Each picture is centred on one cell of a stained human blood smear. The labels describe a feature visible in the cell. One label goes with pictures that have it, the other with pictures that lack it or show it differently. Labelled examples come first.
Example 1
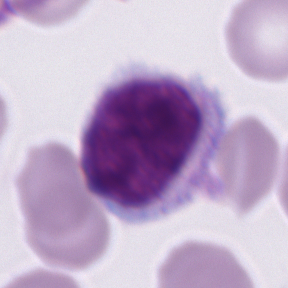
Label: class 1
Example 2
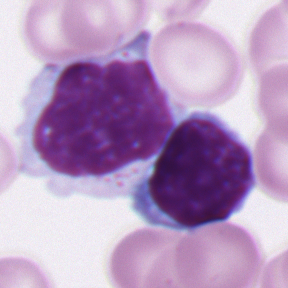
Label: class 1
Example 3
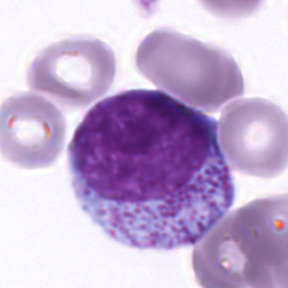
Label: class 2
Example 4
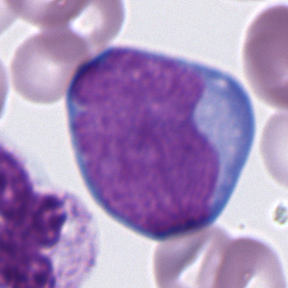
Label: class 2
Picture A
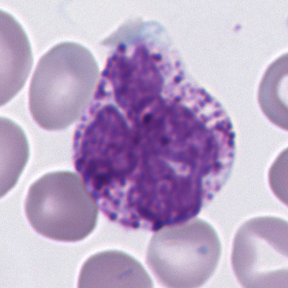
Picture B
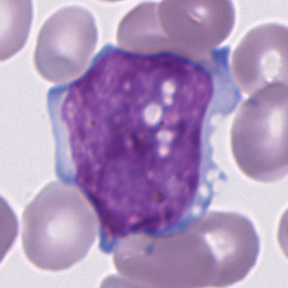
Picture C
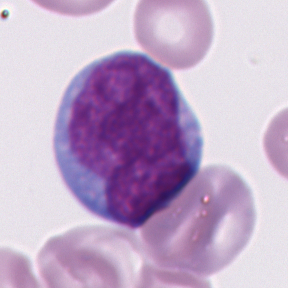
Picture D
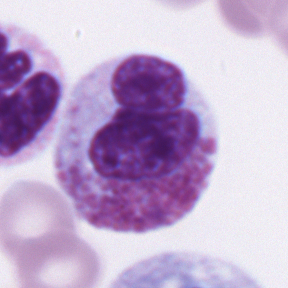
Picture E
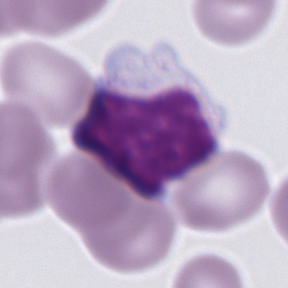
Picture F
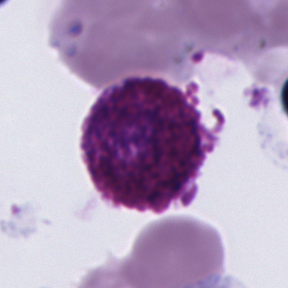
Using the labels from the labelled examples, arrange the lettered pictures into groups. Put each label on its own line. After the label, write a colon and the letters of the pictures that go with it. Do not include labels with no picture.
class 1: A, B, E, F
class 2: C, D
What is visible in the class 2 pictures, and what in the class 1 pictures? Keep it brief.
In class 2: smooth outline. In class 1: ragged outline or projections.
